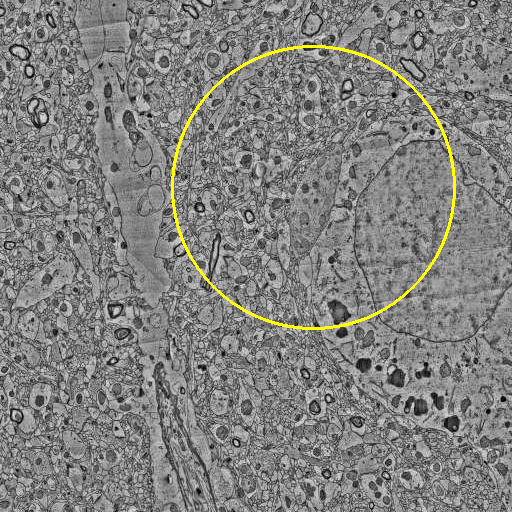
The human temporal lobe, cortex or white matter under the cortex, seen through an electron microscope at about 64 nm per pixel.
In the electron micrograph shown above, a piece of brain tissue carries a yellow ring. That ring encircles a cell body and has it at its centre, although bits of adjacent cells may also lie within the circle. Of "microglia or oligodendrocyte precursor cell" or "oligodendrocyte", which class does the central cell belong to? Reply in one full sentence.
The cell body at the centre of the yellow ring belongs to an oligodendrocyte.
